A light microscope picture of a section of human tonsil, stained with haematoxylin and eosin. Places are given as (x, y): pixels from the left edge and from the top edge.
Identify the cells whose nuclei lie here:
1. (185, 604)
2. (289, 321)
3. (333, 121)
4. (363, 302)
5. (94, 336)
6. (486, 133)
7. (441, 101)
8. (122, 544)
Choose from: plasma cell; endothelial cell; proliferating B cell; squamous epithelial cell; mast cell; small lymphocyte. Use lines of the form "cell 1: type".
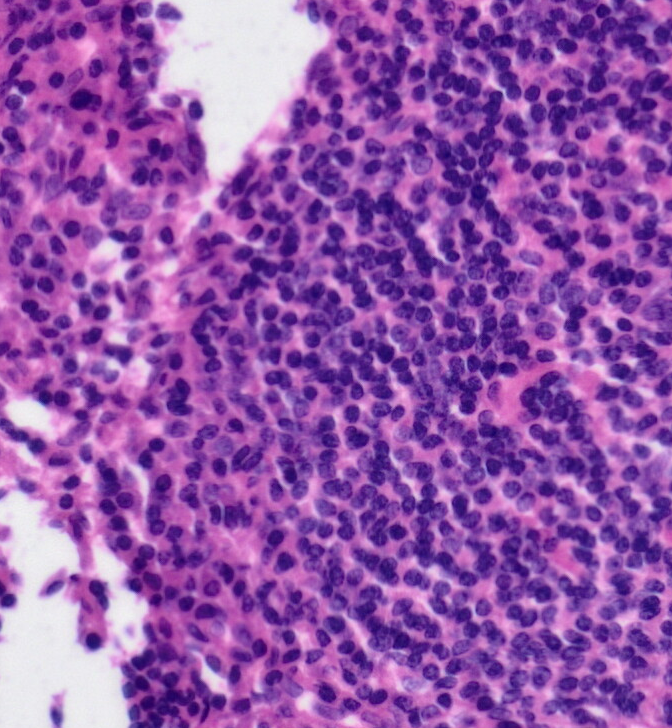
cell 1: plasma cell
cell 2: small lymphocyte
cell 3: small lymphocyte
cell 4: small lymphocyte
cell 5: plasma cell
cell 6: small lymphocyte
cell 7: small lymphocyte
cell 8: plasma cell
